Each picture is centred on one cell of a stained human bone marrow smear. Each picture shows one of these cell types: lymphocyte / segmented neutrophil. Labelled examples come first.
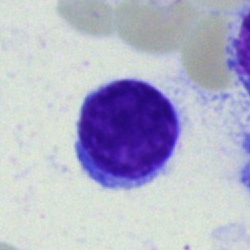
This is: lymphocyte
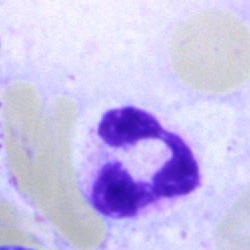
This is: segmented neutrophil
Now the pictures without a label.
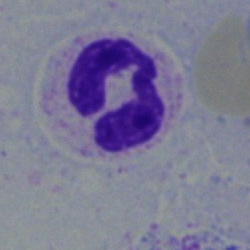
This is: segmented neutrophil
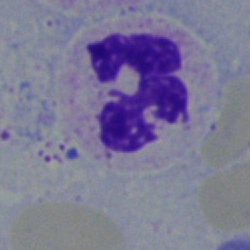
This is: segmented neutrophil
